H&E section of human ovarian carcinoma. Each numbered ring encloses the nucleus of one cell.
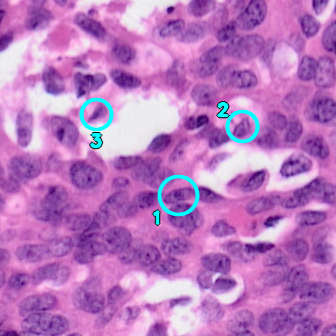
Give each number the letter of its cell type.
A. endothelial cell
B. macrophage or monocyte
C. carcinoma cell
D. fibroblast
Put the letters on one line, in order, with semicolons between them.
C; B; B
